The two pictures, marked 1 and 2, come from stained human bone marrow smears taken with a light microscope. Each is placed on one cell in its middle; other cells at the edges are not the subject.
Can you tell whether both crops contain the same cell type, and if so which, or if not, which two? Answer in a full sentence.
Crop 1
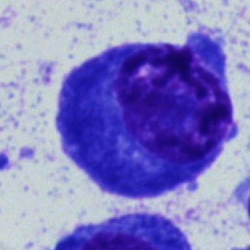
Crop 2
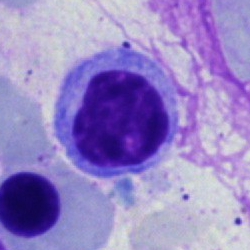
No, in fact crop 1 shows a plasma cell, and crop 2 shows a lymphocyte.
